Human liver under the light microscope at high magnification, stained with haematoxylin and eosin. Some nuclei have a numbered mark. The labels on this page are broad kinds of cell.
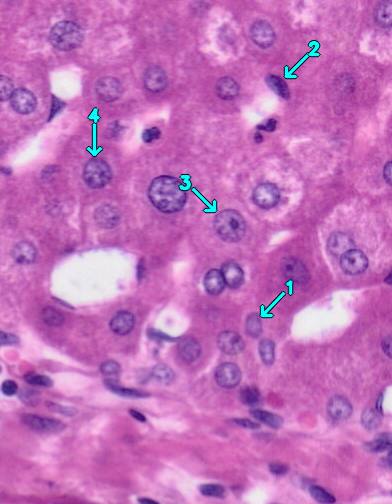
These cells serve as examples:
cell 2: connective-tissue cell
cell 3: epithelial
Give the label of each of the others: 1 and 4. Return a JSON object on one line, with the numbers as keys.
{"1": "epithelial", "4": "epithelial"}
